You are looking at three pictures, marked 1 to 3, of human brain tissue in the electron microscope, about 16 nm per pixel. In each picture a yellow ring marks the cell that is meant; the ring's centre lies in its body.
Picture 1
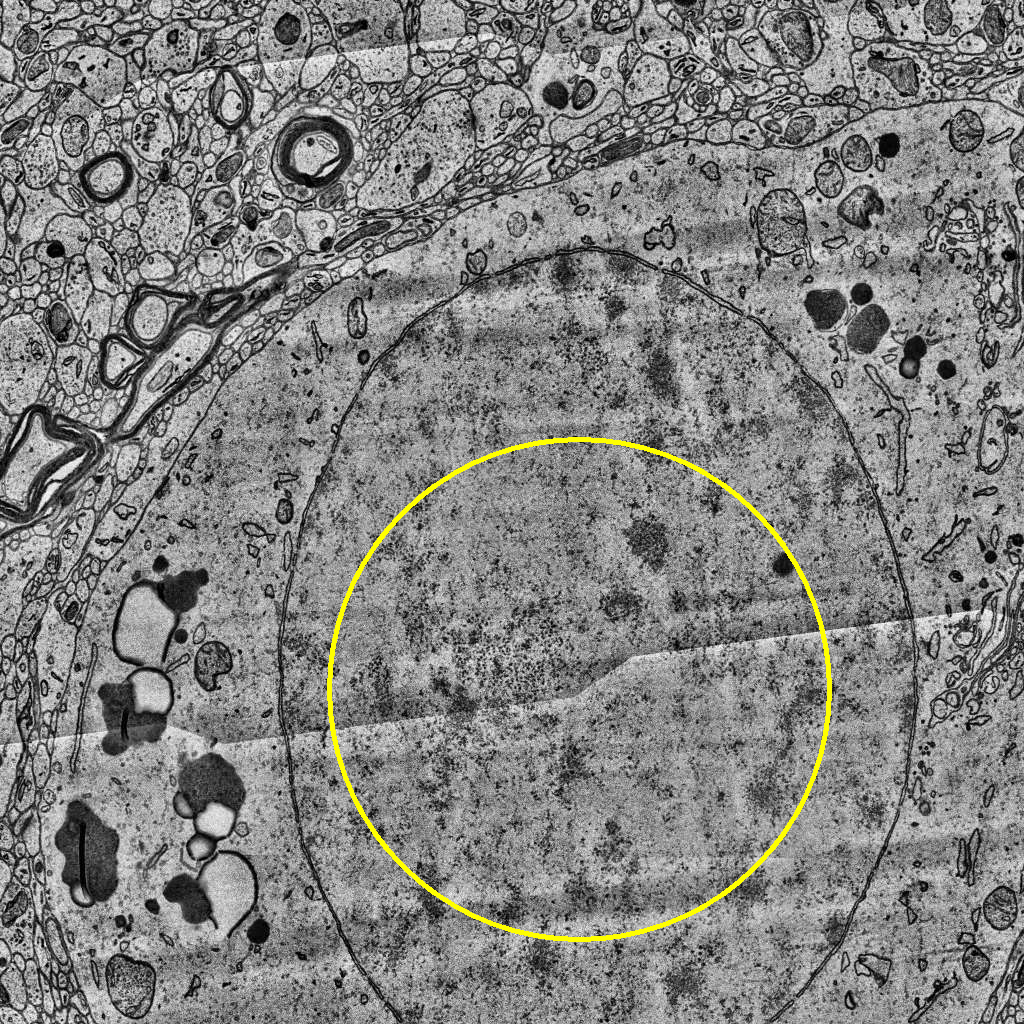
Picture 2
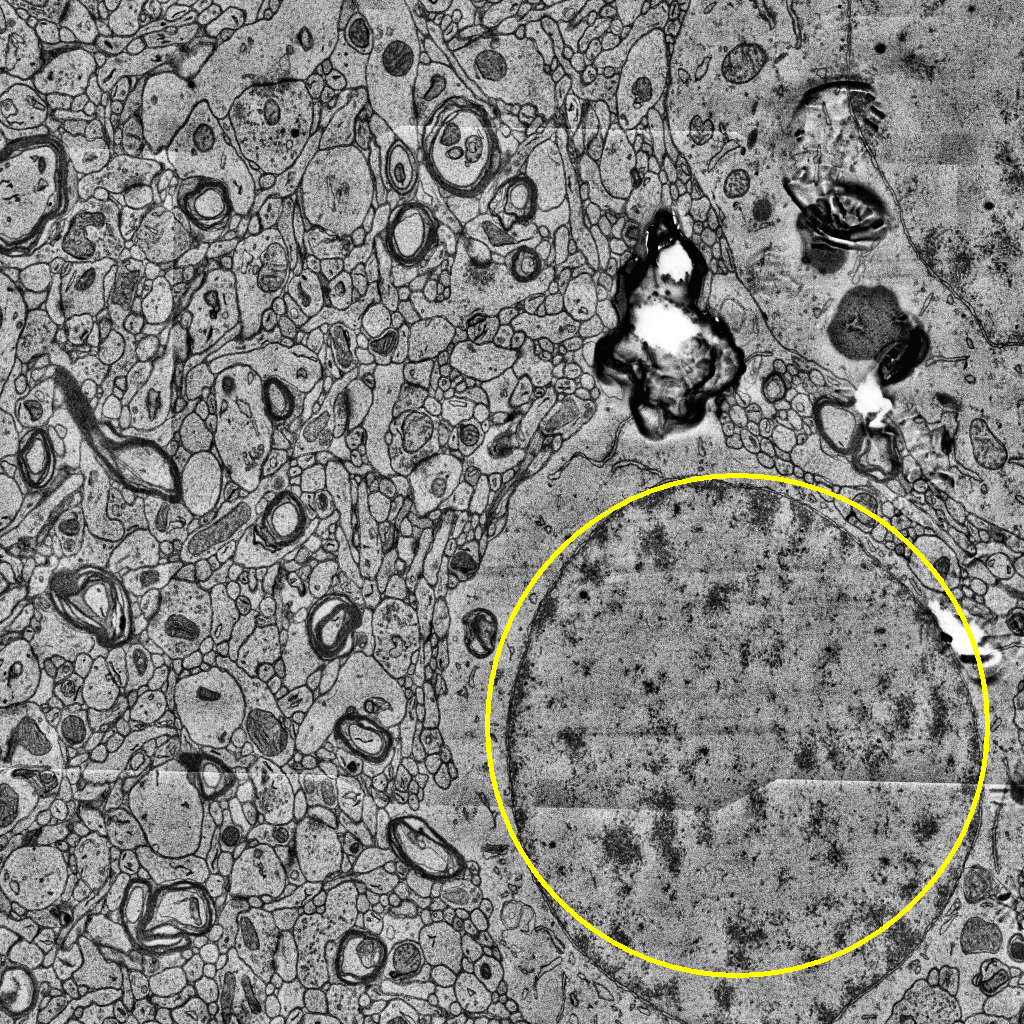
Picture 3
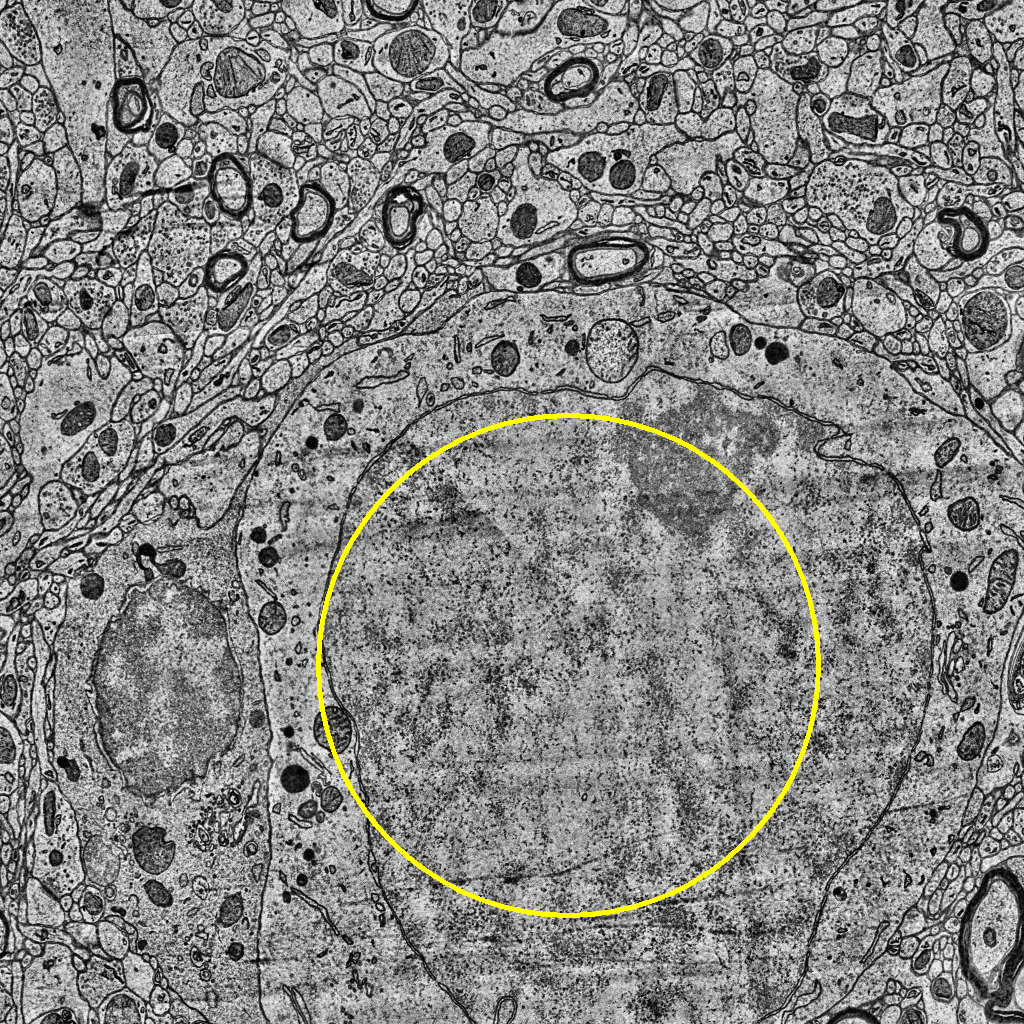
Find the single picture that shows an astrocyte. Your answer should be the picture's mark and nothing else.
2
